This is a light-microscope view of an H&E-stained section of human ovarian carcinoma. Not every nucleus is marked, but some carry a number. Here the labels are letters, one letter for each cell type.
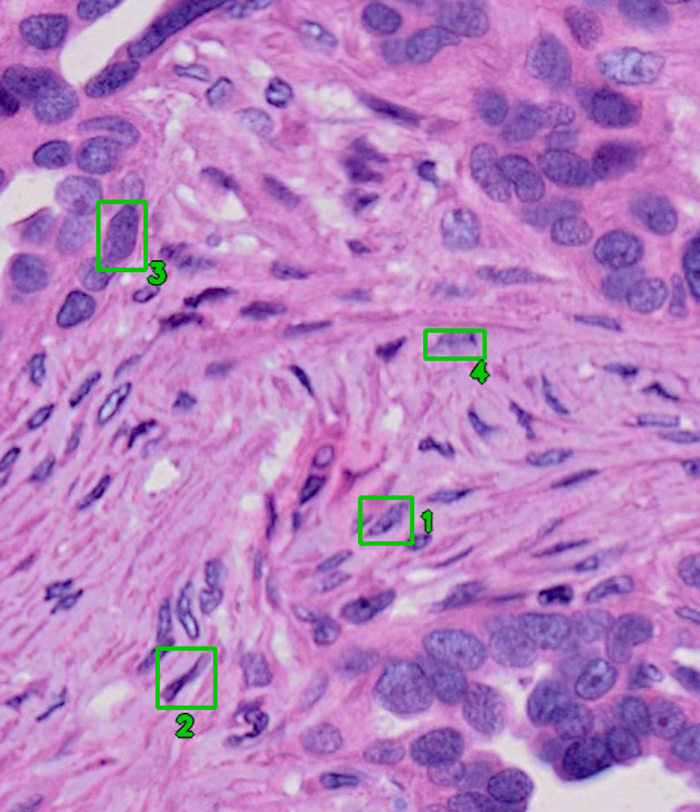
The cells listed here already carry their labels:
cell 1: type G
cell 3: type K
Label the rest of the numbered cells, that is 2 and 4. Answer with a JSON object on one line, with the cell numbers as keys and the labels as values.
{"2": "type G", "4": "type G"}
